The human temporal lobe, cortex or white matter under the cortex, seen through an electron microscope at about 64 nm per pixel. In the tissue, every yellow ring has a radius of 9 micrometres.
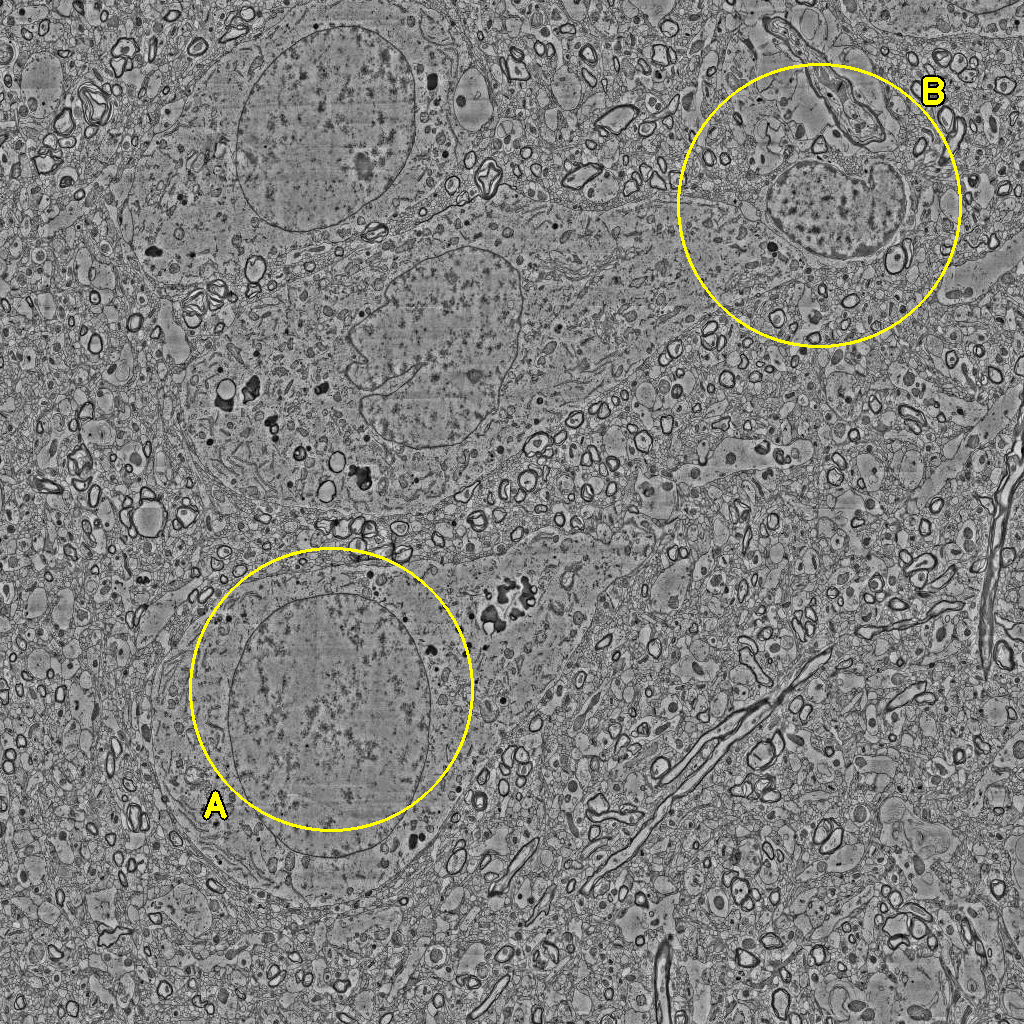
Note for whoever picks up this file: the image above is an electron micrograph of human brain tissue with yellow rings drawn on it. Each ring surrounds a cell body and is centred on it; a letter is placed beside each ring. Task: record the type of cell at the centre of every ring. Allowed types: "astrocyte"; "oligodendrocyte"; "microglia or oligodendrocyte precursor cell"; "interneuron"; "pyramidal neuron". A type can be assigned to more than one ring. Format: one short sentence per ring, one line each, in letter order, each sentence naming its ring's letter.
The ring marked A is centred on a pyramidal neuron.
The ring marked B is centred on a microglial cell or oligodendrocyte precursor cell.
